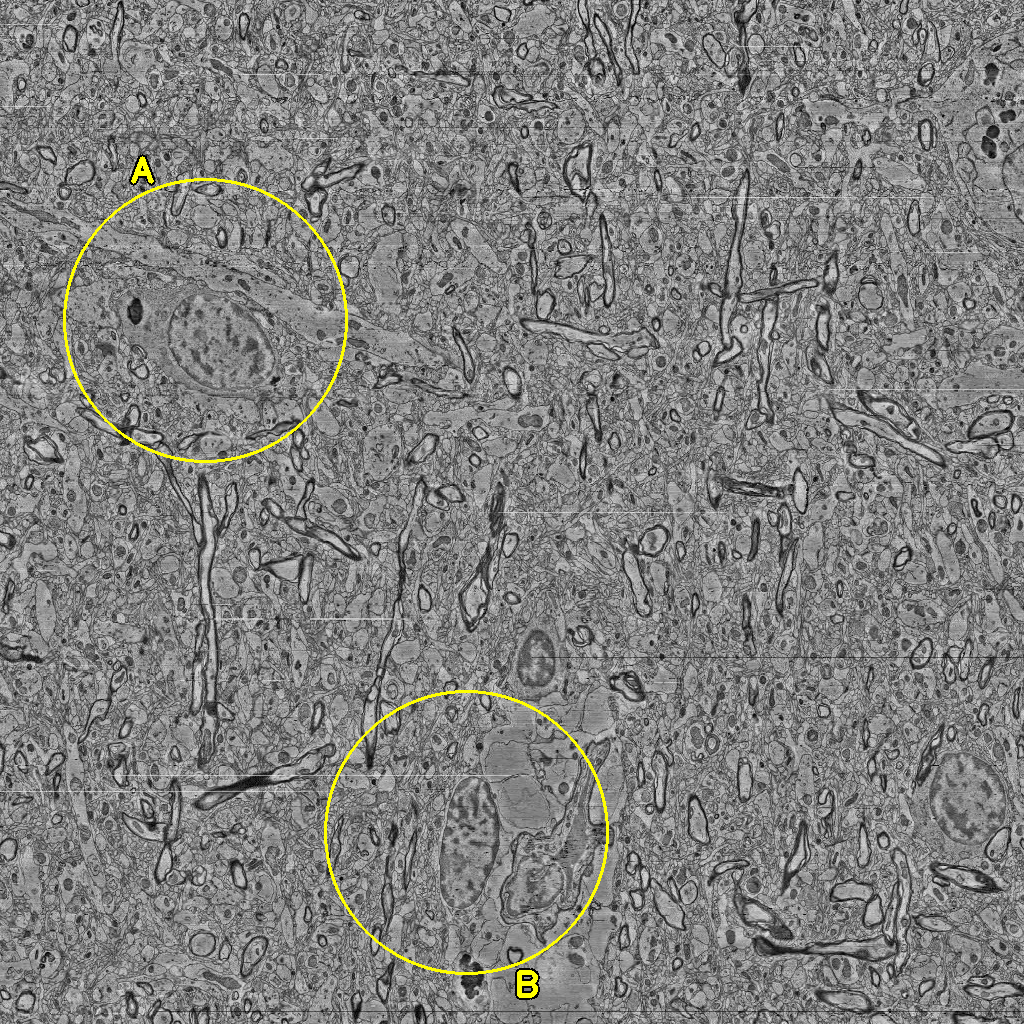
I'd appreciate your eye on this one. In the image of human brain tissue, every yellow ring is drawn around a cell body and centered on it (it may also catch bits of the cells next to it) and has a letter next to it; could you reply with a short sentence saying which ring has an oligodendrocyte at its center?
Ring A is centered on it.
